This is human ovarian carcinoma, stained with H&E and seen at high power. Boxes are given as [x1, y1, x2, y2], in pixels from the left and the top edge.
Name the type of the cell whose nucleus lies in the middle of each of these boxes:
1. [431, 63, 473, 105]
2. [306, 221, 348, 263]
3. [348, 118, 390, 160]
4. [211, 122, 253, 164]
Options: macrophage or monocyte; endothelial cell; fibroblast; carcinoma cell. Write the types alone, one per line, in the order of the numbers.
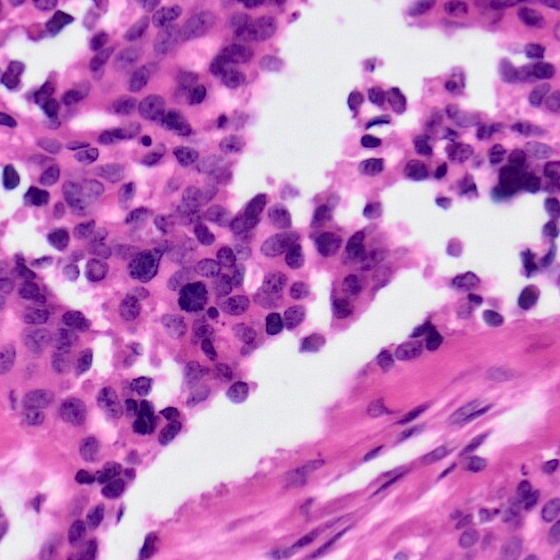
macrophage or monocyte
carcinoma cell
macrophage or monocyte
macrophage or monocyte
